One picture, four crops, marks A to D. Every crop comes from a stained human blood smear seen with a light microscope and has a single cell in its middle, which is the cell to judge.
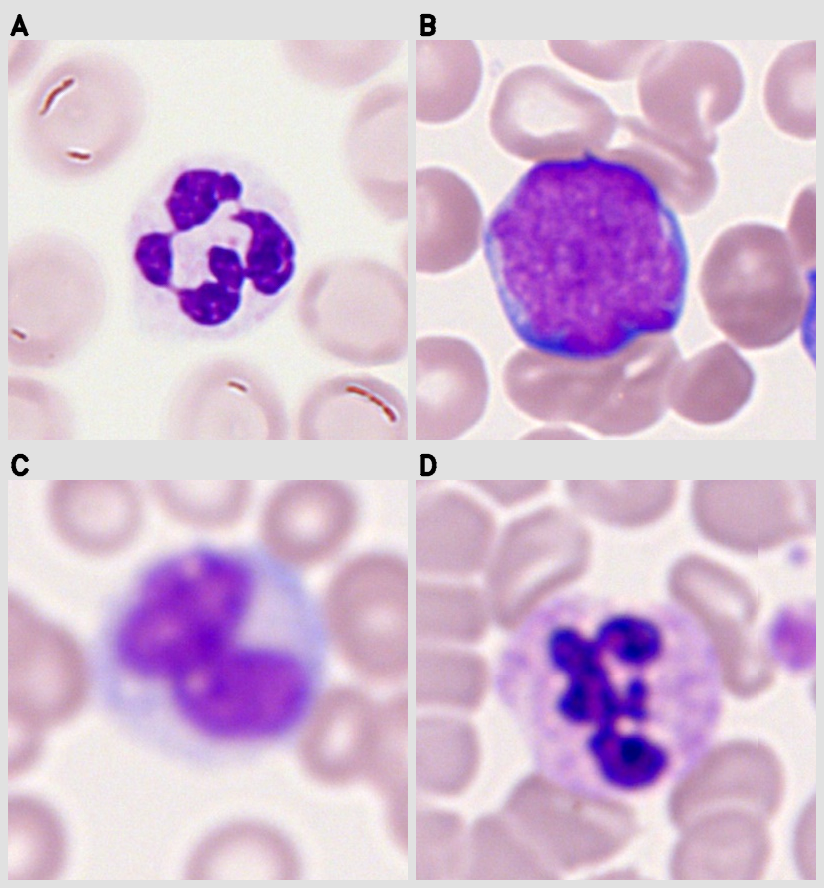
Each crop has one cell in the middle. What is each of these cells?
A: segmented neutrophil
B: myeloblast
C: monocyte
D: segmented neutrophil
